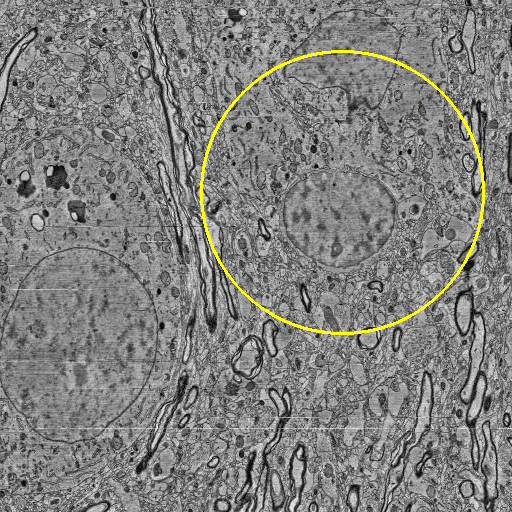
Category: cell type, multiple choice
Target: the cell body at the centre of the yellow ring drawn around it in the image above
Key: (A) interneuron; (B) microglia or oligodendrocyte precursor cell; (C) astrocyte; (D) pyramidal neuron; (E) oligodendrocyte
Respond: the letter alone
E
